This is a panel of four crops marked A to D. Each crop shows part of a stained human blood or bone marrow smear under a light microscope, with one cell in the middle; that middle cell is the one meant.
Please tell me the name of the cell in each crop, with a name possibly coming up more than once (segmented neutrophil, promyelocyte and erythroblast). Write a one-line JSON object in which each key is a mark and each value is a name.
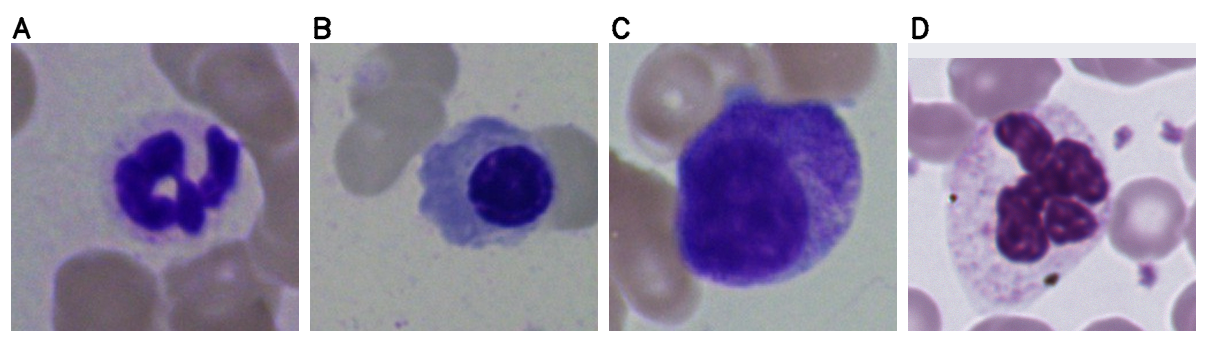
{"A": "segmented neutrophil", "B": "erythroblast", "C": "promyelocyte", "D": "segmented neutrophil"}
